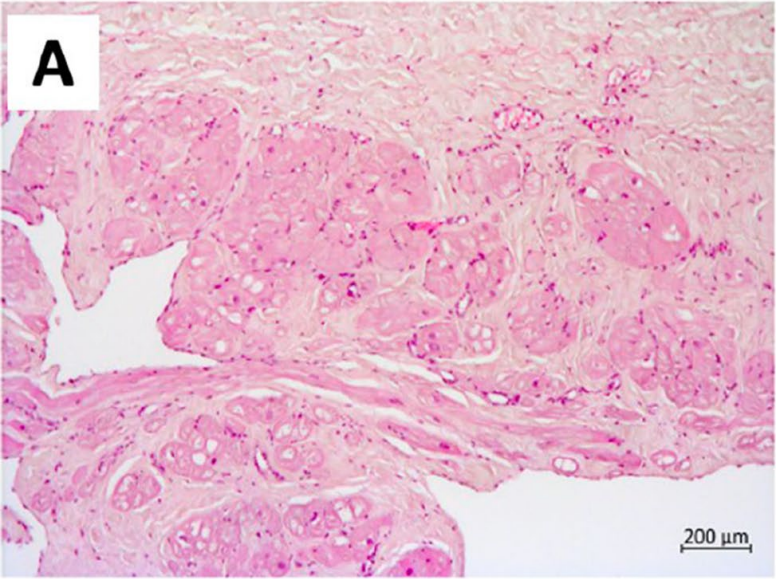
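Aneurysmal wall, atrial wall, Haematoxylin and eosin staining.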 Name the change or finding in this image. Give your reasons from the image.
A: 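Pale pink bundles of fibres hold many clear, round empty spaces. The vacuolated fibres lie in rounded clusters. The answer: vacuolation of the cytoplasm.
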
